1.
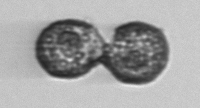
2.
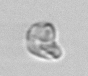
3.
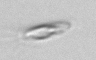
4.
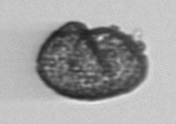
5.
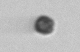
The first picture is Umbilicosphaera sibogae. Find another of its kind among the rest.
Picture 4.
